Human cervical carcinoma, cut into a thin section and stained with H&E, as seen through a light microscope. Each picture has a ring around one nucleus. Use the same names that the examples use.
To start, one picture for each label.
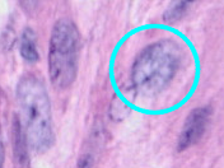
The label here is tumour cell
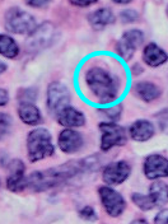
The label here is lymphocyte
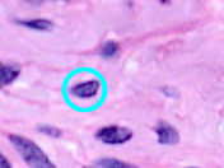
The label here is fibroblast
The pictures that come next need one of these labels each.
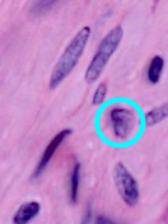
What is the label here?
fibroblast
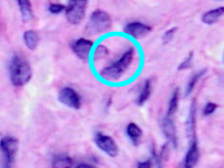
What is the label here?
fibroblast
